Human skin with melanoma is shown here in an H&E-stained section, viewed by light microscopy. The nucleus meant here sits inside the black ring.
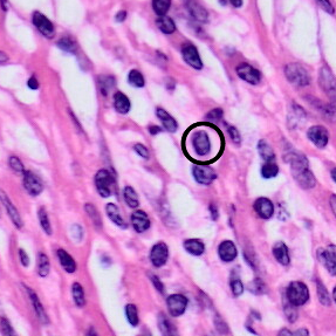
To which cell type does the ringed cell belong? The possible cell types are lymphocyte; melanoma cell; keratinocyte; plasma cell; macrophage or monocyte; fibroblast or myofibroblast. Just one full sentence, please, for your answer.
In this section of tissue, the ringed cell is a lymphocyte.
